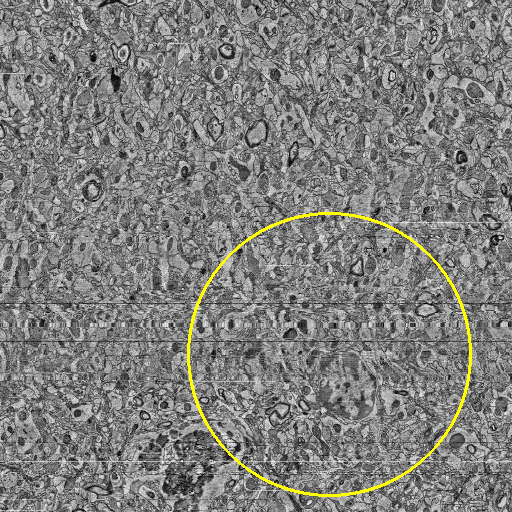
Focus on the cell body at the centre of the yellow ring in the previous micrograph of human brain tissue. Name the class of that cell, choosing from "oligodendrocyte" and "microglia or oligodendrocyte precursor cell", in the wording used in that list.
microglia or oligodendrocyte precursor cell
